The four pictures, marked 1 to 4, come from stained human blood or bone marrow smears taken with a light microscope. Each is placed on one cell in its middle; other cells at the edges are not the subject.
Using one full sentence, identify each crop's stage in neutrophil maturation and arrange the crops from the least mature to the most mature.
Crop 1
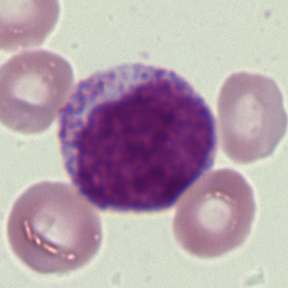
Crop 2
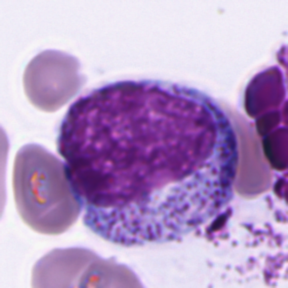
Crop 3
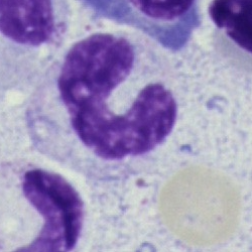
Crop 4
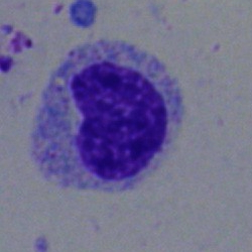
Ranked by maturation stage, earliest first, the crops read crop 2 (a promyelocyte), crop 1 (a myelocyte), crop 4 (a metamyelocyte) and crop 3 (a band neutrophil).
